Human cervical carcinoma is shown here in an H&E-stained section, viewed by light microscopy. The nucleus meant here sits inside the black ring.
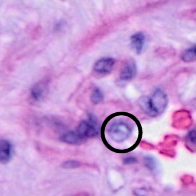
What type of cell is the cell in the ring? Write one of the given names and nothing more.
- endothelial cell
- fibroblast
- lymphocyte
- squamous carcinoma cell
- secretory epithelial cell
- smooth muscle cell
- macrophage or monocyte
endothelial cell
